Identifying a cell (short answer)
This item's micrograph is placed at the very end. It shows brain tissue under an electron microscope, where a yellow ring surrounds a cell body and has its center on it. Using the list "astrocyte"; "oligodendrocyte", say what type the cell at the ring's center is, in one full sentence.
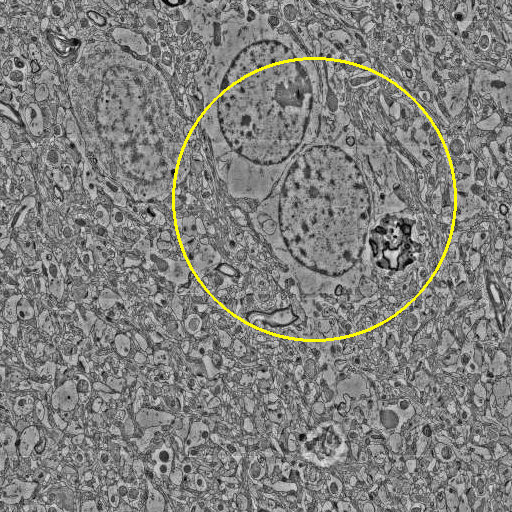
This picture shows an astrocyte at the center of the yellow ring drawn on it.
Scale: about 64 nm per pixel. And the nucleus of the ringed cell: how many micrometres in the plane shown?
In this plane, about 8 micrometres in length and 6 in width.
